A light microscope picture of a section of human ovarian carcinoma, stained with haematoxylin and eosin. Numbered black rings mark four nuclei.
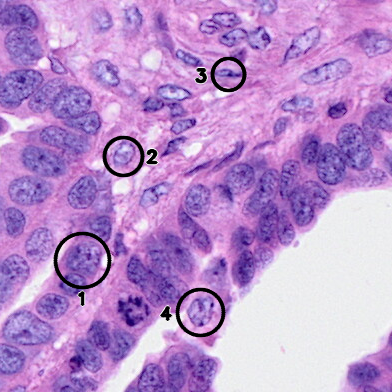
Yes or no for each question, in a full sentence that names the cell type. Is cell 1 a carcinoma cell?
Yes, the cell at number 1 is a carcinoma cell.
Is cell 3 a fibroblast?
Yes, the marked cell numbered 3 is a fibroblast.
